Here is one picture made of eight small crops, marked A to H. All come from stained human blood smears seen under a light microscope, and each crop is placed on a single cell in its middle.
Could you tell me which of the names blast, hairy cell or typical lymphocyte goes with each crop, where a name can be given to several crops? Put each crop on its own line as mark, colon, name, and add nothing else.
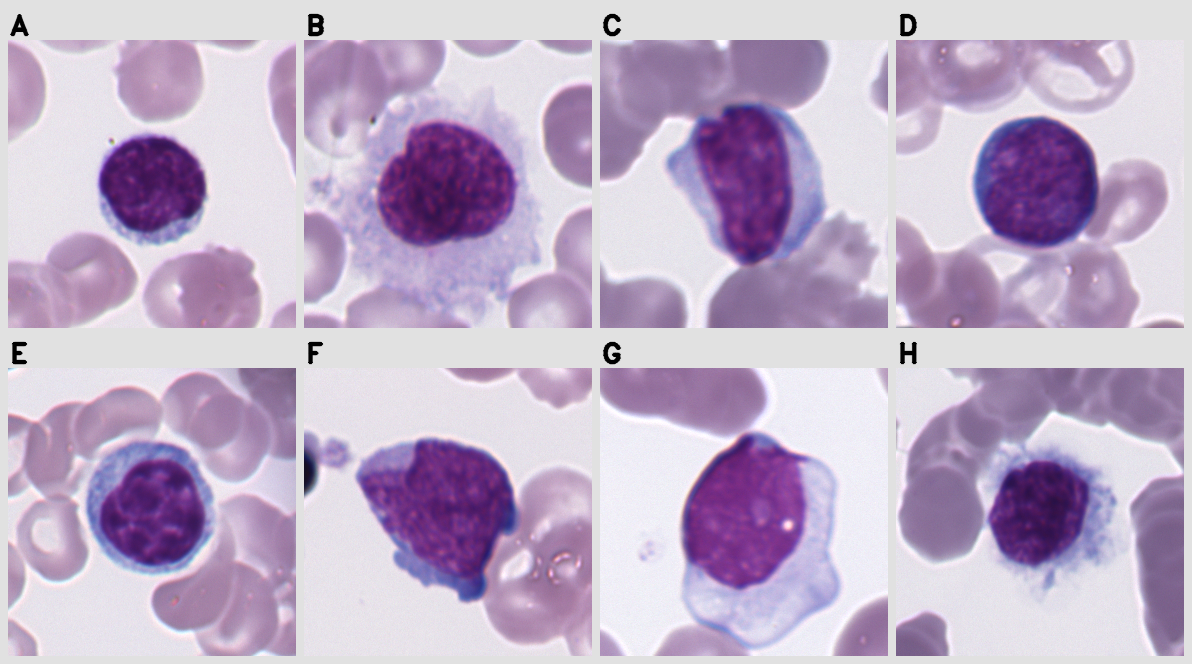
A: typical lymphocyte
B: hairy cell
C: typical lymphocyte
D: blast
E: typical lymphocyte
F: blast
G: typical lymphocyte
H: hairy cell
